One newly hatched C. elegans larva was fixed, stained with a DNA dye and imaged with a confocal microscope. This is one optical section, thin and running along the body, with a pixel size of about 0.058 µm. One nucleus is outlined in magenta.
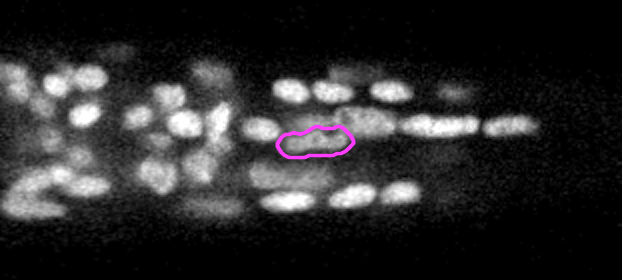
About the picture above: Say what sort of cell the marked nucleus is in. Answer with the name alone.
pharyngeal muscle cell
